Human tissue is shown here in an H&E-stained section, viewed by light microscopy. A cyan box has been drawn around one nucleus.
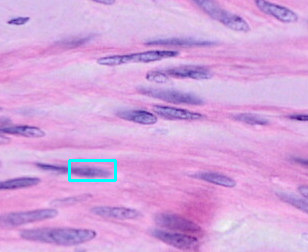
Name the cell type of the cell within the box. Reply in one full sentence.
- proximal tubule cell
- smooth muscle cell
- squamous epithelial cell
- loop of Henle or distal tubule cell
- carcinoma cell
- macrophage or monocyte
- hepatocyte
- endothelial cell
Placed in its cell category, the cell within the box is a smooth muscle cell.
